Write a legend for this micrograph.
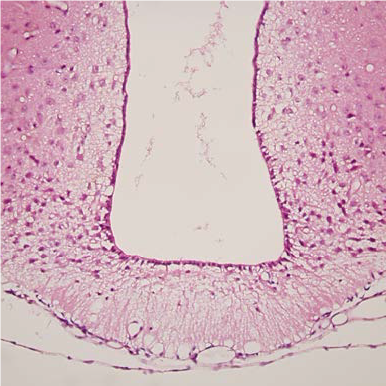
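The tanycyte cell bodies form a continuous single layer along the ventricular surface, with small dark purple nuclei. From this layer, long pink radial processes run in parallel through a pale band of tissue beneath the ventricle floor toward the basal surface of the brain. The surrounding parenchyma on either side contains scattered purple nuclei of other cells in a pink background. The ventricle itself appears as an empty, clear space with a few fine strands inside.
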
